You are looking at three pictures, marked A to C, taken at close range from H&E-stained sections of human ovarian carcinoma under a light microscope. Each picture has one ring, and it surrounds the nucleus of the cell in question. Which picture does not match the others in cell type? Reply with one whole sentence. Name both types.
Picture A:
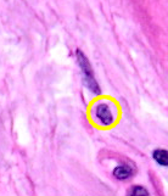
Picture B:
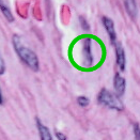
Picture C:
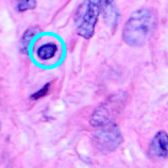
Unlike the rest, which show lymphocytes, picture B shows a fibroblast.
